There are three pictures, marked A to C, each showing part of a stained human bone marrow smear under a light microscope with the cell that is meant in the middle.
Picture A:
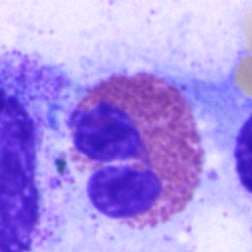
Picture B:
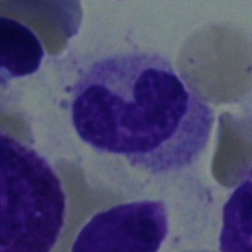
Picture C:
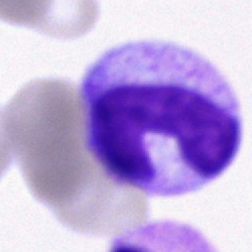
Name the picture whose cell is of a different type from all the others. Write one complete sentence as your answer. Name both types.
Unlike the rest, which show band neutrophils, picture A shows an eosinophil.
